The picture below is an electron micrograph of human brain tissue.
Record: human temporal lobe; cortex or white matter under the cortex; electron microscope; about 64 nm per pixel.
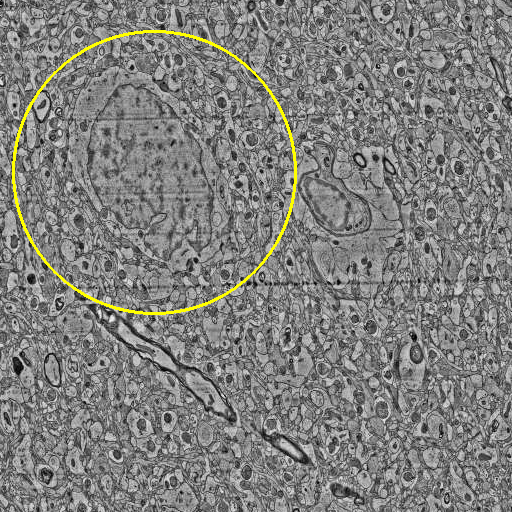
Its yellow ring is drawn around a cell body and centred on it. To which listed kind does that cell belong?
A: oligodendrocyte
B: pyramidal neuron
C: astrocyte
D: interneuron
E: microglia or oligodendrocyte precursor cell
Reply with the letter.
D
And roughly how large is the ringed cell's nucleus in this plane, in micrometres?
The nucleus has a long axis of about 10 micrometres and a short axis of about 7 micrometres in this plane.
